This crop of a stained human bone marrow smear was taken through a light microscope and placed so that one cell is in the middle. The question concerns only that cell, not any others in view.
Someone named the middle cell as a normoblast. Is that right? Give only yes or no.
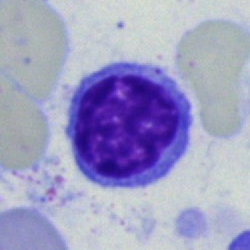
no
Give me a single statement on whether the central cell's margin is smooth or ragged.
There are no projections here; the outline is simply smooth.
